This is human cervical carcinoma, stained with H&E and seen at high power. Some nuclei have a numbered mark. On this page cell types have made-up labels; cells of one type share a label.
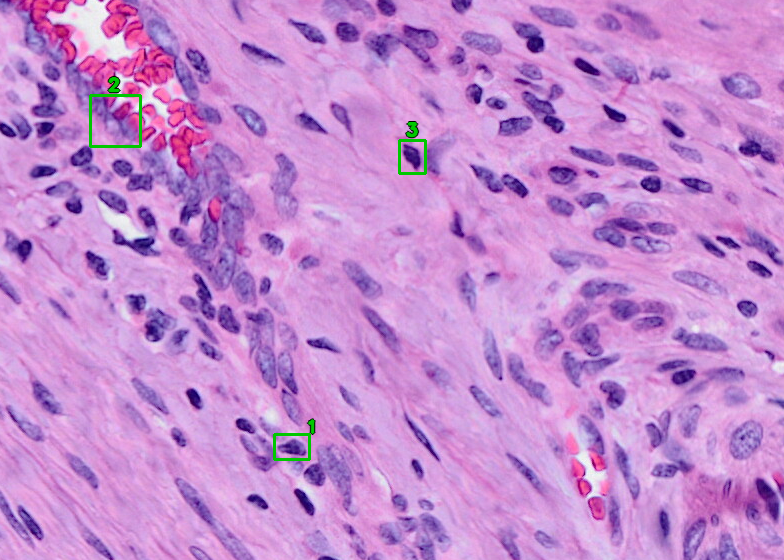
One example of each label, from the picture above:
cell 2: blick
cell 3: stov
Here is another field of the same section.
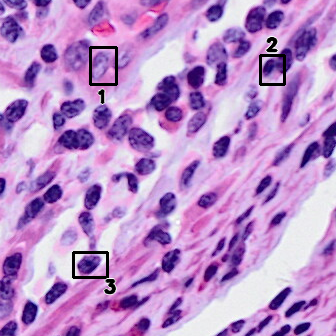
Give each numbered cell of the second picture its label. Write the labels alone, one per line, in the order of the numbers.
blick
stov
stov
